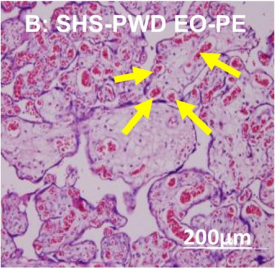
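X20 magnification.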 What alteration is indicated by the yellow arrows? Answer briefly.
Chorangiosis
